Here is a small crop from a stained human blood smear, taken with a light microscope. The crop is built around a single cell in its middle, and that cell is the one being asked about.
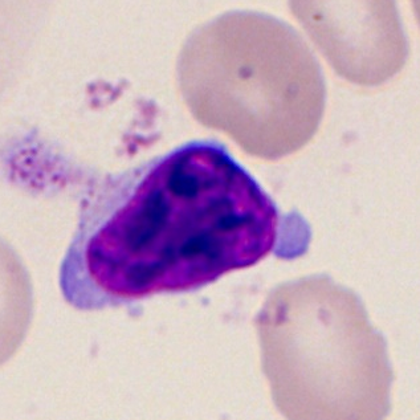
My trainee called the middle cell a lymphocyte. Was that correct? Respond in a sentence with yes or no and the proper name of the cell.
Yes, the cell in the exact middle is a lymphocyte.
